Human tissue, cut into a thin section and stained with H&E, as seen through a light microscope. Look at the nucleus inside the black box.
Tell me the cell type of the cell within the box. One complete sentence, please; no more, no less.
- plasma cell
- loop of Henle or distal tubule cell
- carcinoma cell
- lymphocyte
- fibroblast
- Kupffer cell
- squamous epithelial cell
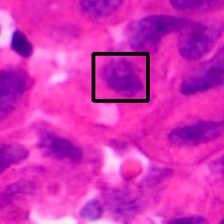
Within this tissue, the cell within the box is a carcinoma cell.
